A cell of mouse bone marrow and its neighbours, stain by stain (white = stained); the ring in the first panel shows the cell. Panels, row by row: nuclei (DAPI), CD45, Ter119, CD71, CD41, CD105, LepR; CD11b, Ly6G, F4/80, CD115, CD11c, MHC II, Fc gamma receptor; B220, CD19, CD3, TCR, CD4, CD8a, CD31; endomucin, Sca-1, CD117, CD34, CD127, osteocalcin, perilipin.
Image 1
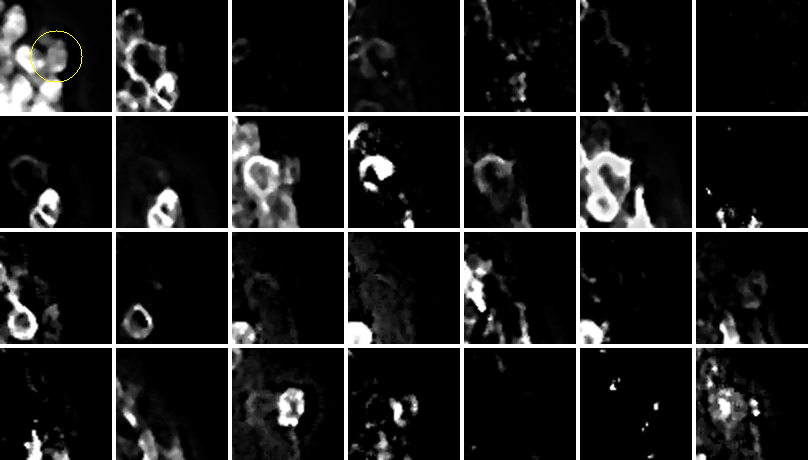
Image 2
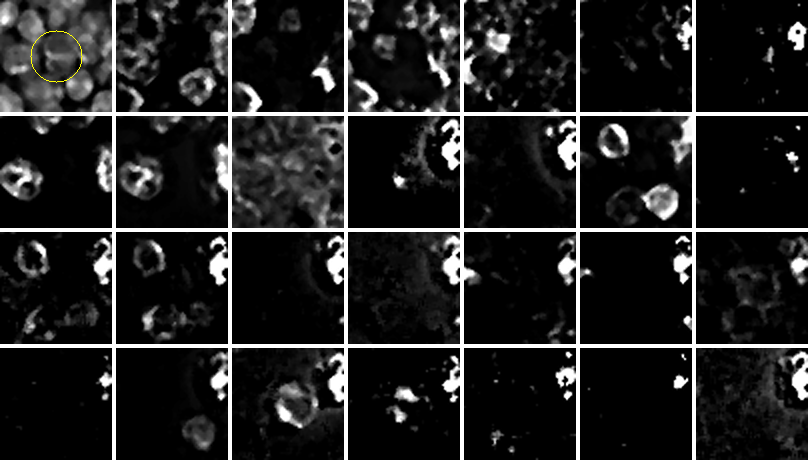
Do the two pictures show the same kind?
Yes, both are common myeloid progenitors.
